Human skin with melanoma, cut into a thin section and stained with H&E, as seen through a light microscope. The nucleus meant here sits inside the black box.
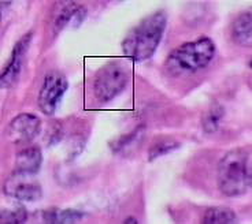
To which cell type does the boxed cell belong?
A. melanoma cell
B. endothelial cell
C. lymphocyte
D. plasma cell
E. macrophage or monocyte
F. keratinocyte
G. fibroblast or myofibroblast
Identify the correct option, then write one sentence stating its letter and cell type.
Option A is correct here; the boxed cell is a melanoma cell.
